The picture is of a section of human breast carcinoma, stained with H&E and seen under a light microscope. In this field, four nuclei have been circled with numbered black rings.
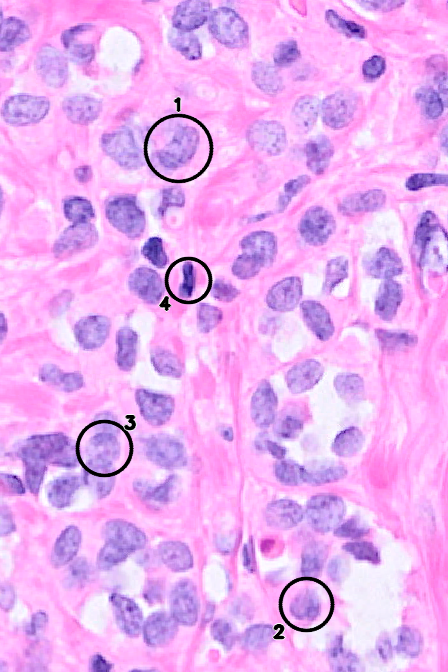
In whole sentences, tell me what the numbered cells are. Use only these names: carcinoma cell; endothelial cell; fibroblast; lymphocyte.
Cells 1, 2 and 3 are carcinoma cells. Cell 4 is a lymphocyte.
